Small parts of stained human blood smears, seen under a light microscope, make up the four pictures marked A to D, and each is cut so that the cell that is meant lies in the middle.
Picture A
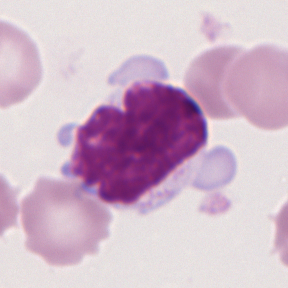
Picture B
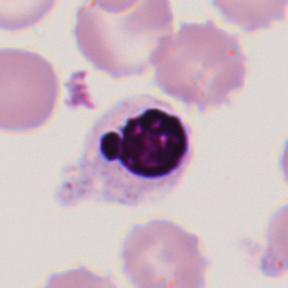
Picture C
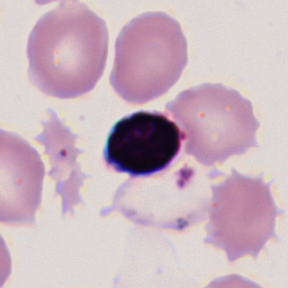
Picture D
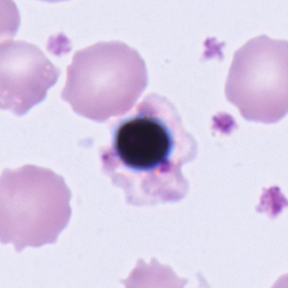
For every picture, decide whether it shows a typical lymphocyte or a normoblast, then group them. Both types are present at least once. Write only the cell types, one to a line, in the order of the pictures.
typical lymphocyte
normoblast
normoblast
normoblast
